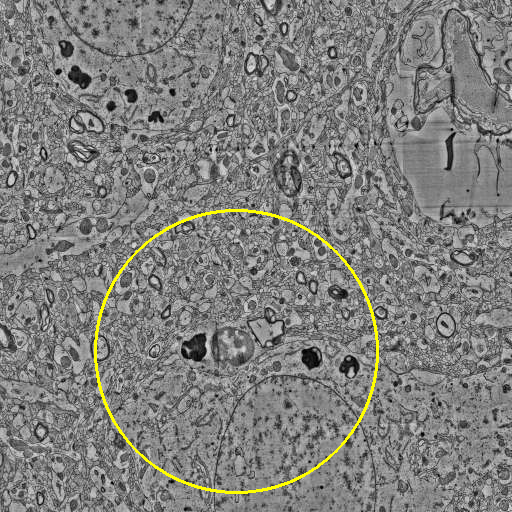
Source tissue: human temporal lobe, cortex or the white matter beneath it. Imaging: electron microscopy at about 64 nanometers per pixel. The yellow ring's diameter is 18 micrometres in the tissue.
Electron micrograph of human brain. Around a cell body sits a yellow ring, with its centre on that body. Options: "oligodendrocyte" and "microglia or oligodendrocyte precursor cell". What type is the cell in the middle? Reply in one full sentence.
The cell sitting at the centre of the yellow ring is an oligodendrocyte.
